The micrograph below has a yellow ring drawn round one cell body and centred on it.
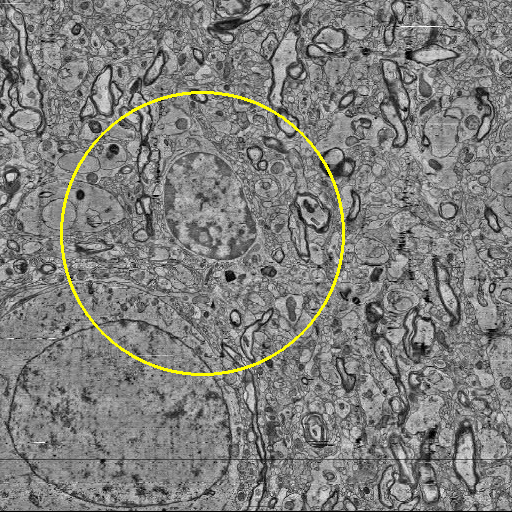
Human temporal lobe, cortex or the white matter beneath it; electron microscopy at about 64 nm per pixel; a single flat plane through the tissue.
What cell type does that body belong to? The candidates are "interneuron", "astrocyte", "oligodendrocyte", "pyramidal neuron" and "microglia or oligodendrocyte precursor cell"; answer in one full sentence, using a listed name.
This is a microglial cell or oligodendrocyte precursor cell, the cell whose body lies at the centre of the ring.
